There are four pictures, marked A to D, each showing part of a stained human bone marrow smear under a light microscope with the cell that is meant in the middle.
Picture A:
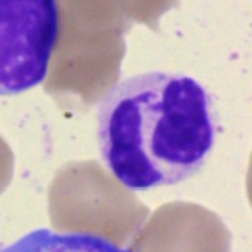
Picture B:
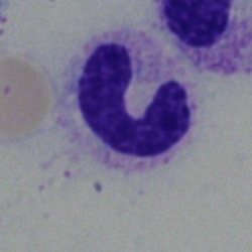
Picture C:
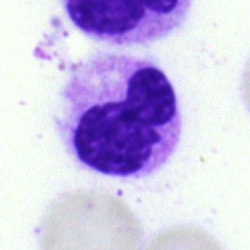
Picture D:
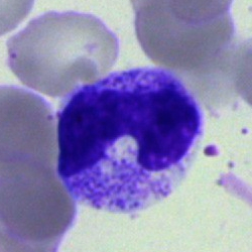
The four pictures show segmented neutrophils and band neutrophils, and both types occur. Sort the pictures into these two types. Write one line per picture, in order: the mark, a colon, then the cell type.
A: segmented neutrophil
B: band neutrophil
C: band neutrophil
D: band neutrophil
